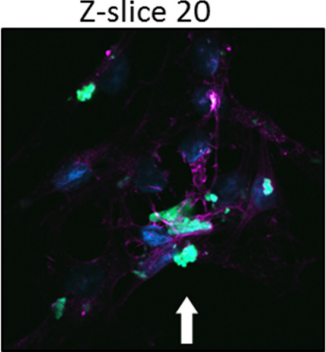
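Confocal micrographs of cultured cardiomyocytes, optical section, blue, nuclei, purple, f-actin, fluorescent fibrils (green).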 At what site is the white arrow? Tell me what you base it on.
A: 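The arrow points to a bright green clump lying at the edge of a cell. That points to this answer: cell surface.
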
